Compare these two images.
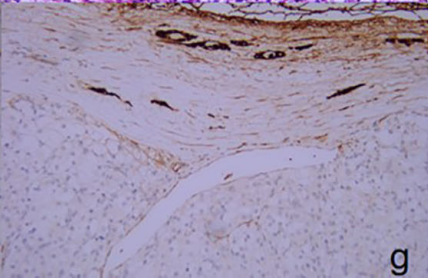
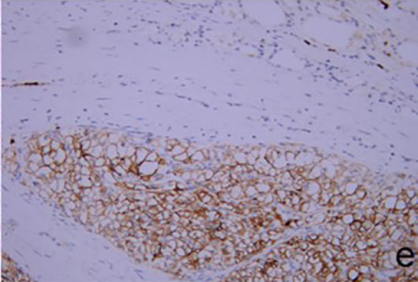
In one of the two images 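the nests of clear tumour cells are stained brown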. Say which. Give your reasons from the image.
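Second image: a nest of clear cells shows strong brown staining along the cell borders.
Answer: the second image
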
